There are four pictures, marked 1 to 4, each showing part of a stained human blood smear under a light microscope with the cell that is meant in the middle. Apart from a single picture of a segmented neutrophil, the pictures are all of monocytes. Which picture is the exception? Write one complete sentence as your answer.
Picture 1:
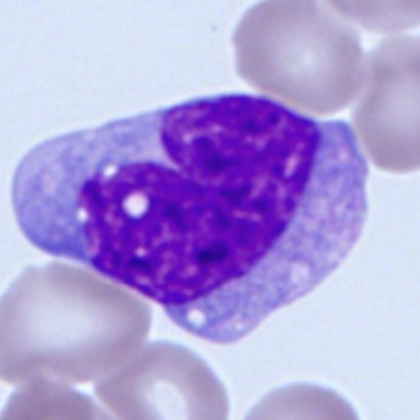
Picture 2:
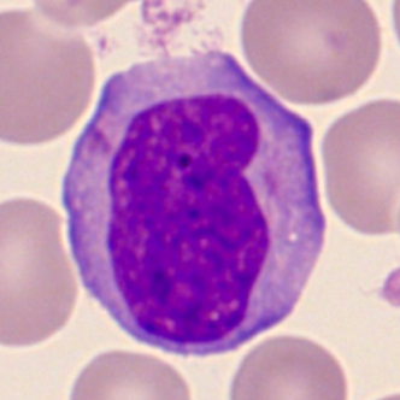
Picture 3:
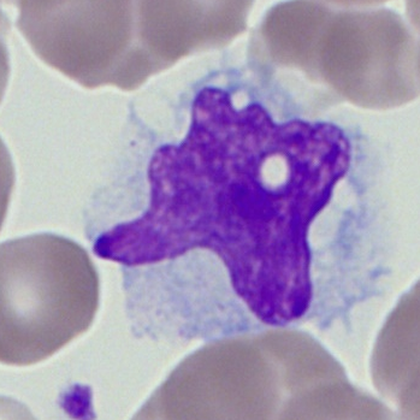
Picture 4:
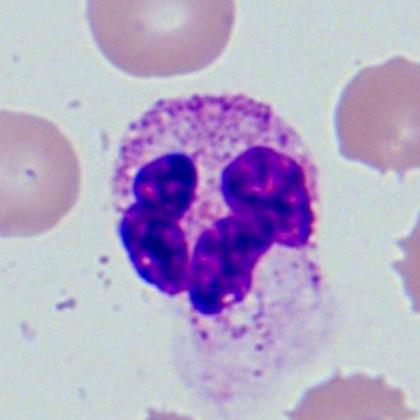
Picture 4 is the one that shows the segmented neutrophil.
